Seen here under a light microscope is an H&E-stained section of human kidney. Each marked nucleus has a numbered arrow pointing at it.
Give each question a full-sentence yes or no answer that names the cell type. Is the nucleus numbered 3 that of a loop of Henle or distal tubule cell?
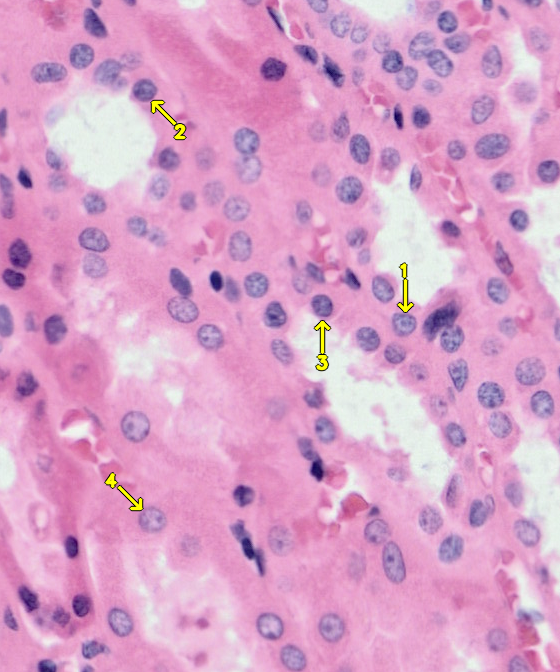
Yes, number 3 in this section denotes a loop of Henle or distal tubule cell.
